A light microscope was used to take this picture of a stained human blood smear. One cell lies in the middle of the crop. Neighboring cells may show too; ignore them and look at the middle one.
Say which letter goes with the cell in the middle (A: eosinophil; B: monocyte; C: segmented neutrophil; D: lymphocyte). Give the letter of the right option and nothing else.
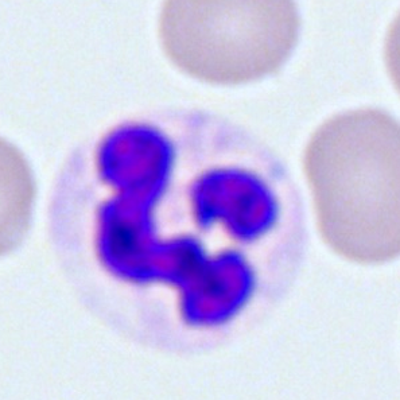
C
